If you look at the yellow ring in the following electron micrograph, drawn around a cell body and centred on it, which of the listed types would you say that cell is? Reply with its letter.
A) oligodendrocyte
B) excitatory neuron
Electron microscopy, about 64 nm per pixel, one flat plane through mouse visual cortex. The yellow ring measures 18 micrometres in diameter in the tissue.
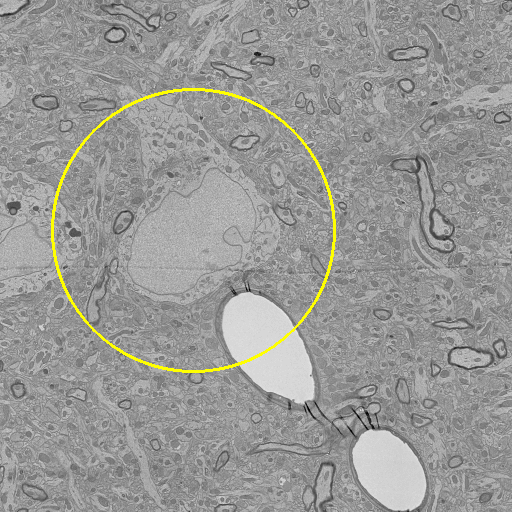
B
